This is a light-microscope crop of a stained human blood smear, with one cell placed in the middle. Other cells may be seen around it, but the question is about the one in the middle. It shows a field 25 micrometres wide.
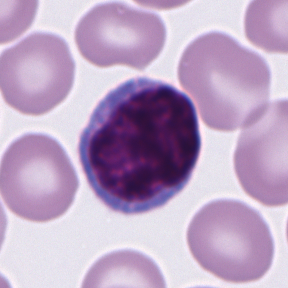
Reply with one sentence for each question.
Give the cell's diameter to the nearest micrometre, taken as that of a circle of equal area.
The cell is about 11 micrometres across.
